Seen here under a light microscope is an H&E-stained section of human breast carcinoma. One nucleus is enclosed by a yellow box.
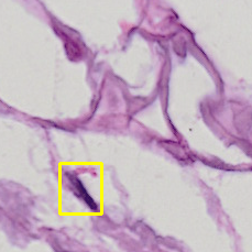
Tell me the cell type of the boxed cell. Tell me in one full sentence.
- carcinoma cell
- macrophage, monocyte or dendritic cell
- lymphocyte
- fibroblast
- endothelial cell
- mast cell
Right, so the boxed cell is a fibroblast, to answer that.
